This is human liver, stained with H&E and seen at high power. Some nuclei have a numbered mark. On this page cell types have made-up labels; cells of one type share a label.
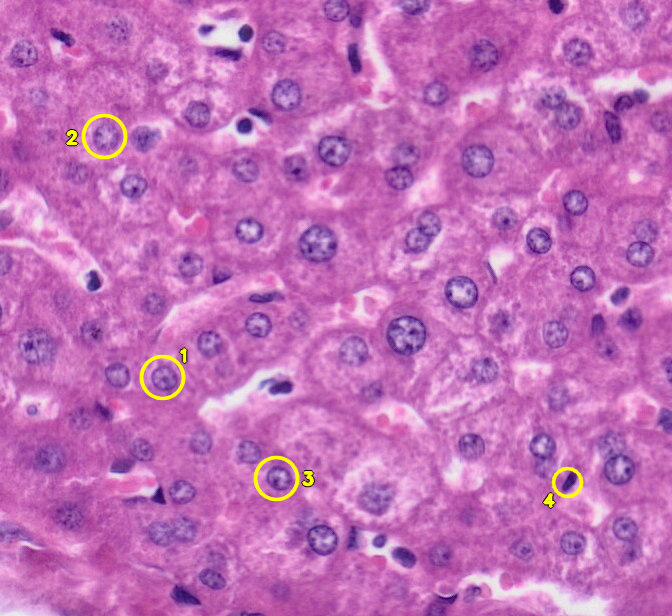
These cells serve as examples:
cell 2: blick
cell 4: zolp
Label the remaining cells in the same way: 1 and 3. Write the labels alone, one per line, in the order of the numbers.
blick
blick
